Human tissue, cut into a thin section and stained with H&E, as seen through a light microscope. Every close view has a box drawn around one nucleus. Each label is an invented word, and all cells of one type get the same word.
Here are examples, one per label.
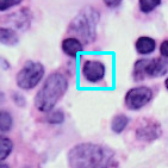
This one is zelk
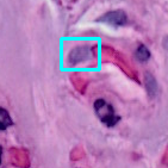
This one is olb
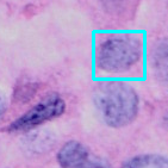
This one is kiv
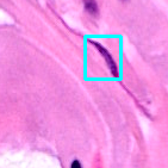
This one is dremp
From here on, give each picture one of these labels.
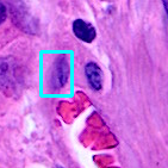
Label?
olb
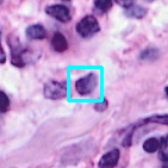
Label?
zelk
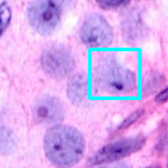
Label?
kiv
